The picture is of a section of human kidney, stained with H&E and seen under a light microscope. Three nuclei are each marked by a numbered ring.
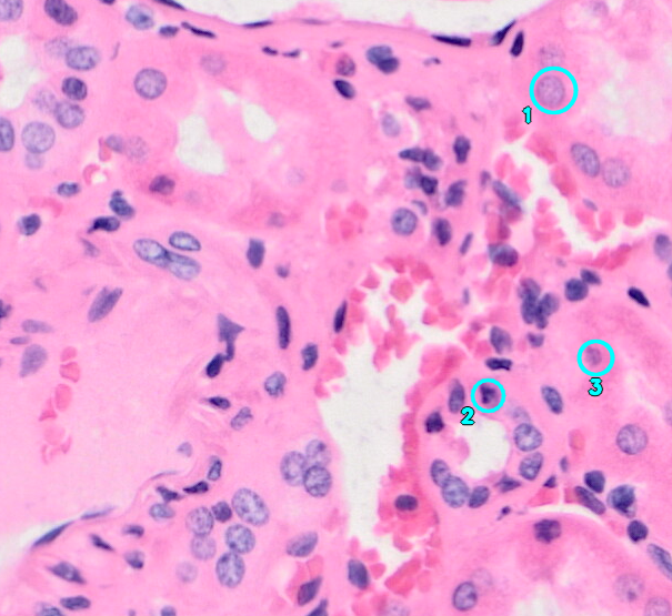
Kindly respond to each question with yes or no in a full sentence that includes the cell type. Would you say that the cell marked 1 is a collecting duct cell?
No, cell 1 does not represent a collecting duct cell; it represents a proximal tubule cell.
